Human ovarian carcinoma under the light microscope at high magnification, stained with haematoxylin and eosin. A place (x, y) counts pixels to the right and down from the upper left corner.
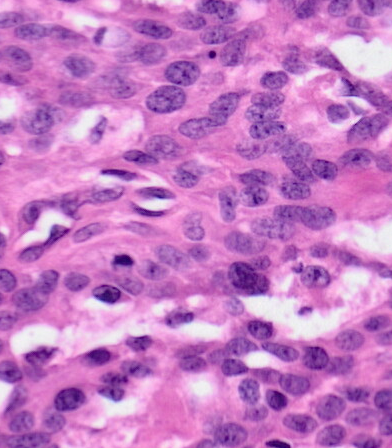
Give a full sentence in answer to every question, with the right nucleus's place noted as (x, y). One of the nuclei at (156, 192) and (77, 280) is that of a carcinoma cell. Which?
Of the two, the nucleus lying at (77, 280) is the one belonging to a carcinoma cell.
